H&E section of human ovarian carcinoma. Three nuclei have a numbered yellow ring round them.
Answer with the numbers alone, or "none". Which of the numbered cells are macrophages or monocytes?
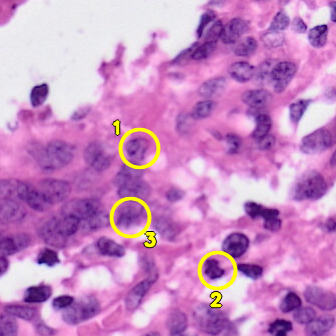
1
